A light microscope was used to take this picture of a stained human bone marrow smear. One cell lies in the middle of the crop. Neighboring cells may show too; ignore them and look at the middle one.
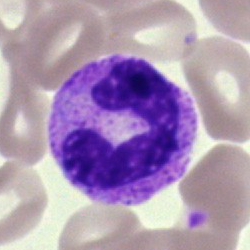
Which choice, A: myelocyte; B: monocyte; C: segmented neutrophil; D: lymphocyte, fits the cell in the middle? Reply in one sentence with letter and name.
That the central cell is a segmented neutrophil makes option C correct.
